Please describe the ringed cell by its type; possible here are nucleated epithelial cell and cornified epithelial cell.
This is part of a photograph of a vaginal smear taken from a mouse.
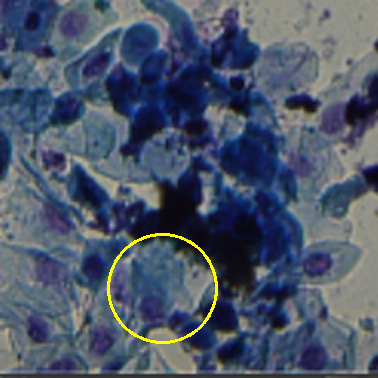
The yellow ring marks a nucleated epithelial cell.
